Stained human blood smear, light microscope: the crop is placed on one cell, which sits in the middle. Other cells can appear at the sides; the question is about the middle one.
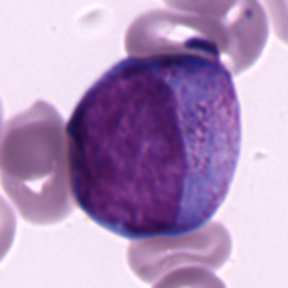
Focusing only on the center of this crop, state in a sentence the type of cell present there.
The single cell at the center of the crop is a promyelocyte.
